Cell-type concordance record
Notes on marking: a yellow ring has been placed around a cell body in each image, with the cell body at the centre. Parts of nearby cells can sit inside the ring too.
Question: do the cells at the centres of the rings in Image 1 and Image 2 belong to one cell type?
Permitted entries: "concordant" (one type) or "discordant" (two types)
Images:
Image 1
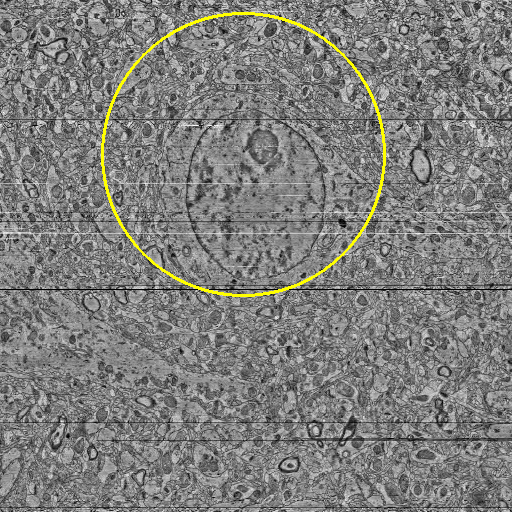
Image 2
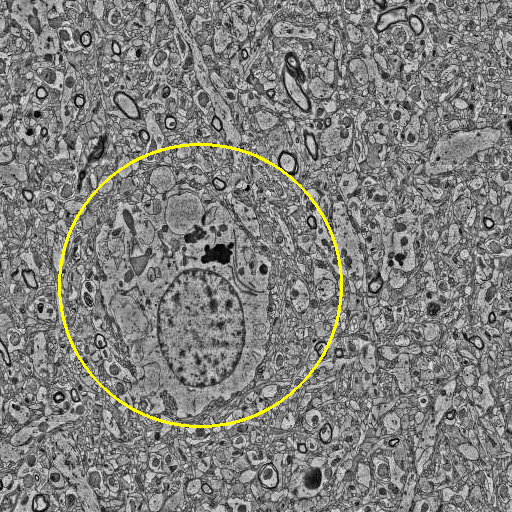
discordant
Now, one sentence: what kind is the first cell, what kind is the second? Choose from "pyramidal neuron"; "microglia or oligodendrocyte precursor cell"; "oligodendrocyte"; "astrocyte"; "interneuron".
The first picture has a pyramidal neuron at its ring centre, and the second has an astrocyte.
